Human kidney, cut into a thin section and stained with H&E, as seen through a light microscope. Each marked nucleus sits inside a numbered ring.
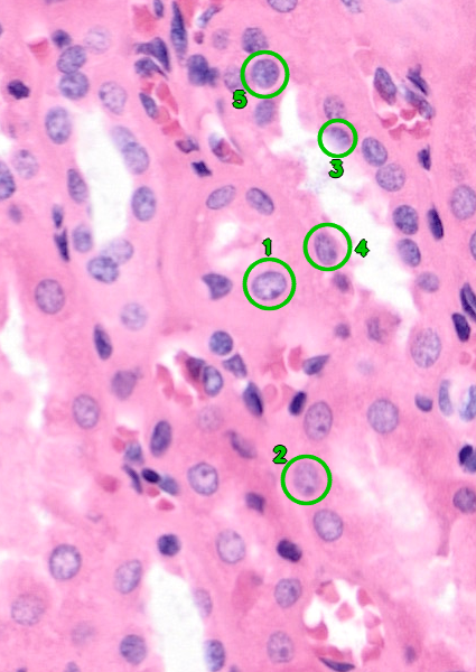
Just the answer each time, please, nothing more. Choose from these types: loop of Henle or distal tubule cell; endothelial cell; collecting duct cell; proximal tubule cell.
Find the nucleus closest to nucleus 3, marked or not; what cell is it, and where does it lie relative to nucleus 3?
a loop of Henle or distal tubule cell; above nucleus 3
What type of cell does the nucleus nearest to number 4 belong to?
loop of Henle or distal tubule cell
